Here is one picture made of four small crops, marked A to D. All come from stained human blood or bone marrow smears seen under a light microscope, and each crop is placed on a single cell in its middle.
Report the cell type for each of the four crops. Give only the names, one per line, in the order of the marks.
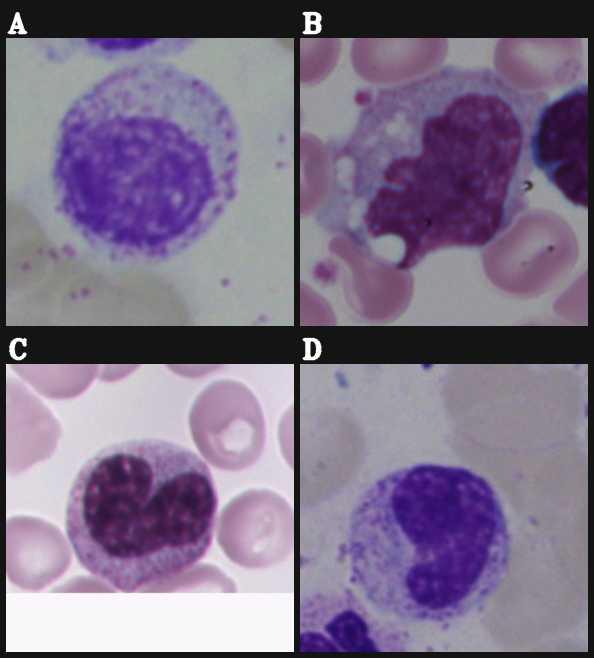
myelocyte
monocyte
band neutrophil
band neutrophil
